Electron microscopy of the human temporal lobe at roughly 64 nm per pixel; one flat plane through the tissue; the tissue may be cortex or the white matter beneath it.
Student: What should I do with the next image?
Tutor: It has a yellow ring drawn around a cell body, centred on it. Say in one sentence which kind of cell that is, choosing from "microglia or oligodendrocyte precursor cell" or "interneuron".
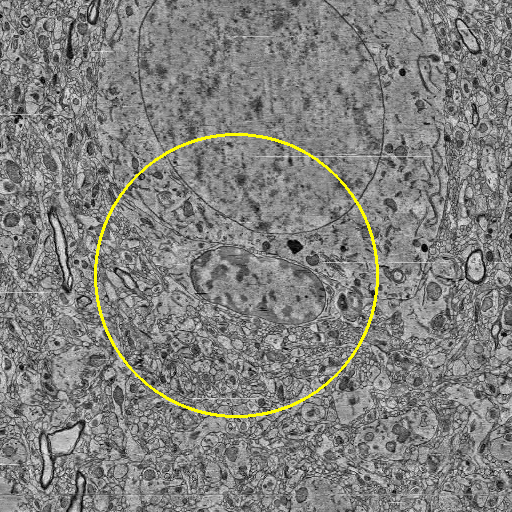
The ring's centre is occupied by a microglial cell or oligodendrocyte precursor cell.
